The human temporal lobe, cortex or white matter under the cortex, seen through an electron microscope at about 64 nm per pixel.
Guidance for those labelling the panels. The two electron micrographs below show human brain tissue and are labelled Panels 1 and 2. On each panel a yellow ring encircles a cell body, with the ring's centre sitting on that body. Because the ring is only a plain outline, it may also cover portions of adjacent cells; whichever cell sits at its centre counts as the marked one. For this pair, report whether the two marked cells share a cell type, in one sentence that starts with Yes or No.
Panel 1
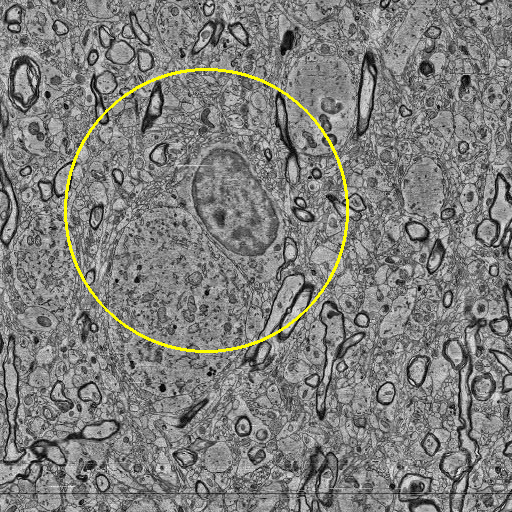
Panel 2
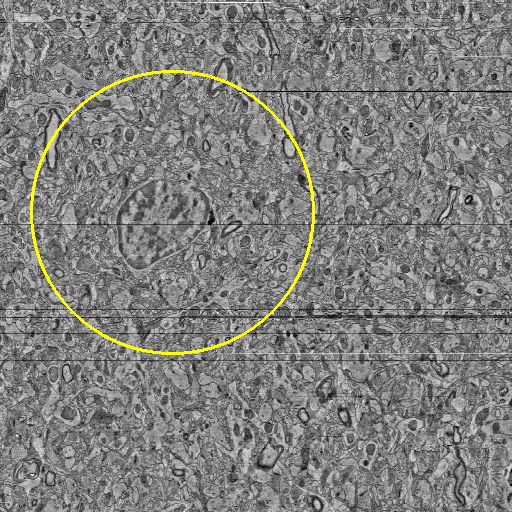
No, in Panel 1 and Panel 2 the marked cells at the ring centres are of two types.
